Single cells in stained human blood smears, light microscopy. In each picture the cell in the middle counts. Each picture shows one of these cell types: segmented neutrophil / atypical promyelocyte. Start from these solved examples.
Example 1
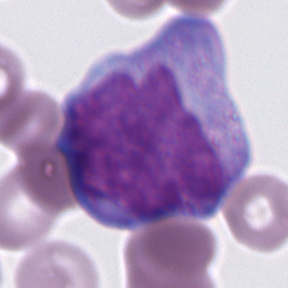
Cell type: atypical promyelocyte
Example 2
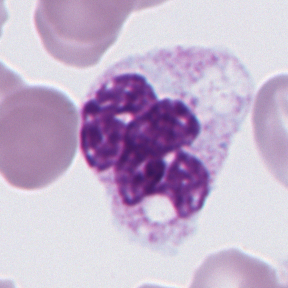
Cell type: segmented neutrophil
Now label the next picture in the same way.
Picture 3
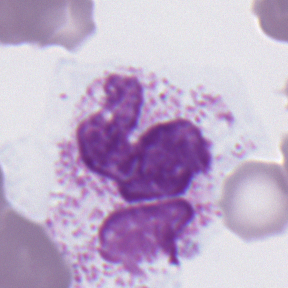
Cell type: segmented neutrophil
